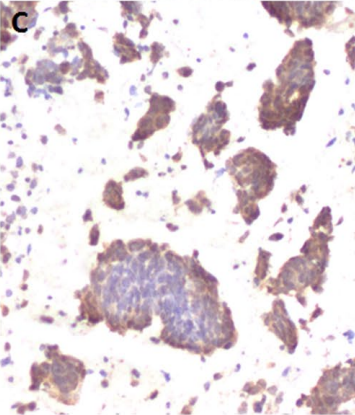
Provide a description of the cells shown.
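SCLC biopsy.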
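This view shows small clusters and nests of tumor cells lying in a pale, loose background. Brown staining fills the bodies of the cells in the nests, with the bluish nuclei showing through. Scattered single small cells lie between the nests in the pale background.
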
